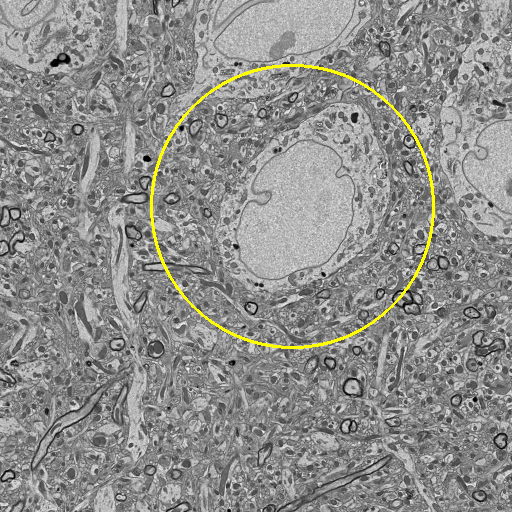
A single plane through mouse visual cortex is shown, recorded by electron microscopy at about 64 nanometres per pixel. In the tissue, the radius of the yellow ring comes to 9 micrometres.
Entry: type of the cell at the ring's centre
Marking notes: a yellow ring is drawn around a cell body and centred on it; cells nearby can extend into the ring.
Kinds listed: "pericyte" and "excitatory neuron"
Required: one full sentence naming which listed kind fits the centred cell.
My entry names an excitatory neuron as the cell whose body the yellow ring centres on.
